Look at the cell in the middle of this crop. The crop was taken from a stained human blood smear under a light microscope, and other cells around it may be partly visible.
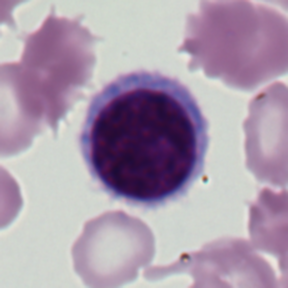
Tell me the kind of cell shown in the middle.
hairy cell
